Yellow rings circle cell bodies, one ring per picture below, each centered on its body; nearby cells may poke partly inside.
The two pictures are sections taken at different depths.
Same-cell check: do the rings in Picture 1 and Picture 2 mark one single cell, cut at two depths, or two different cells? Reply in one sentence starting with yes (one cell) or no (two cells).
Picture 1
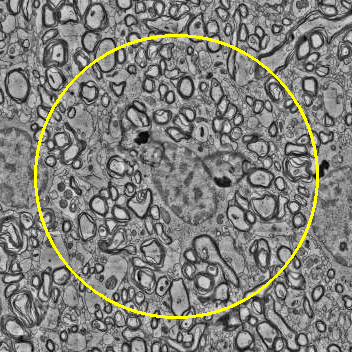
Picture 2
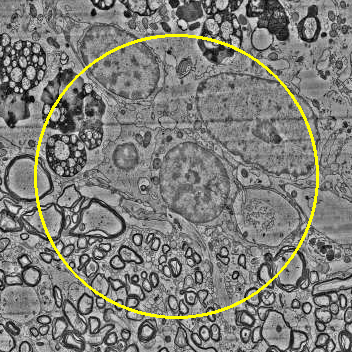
No, the two rings do not mark one cell; they mark two different cells.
